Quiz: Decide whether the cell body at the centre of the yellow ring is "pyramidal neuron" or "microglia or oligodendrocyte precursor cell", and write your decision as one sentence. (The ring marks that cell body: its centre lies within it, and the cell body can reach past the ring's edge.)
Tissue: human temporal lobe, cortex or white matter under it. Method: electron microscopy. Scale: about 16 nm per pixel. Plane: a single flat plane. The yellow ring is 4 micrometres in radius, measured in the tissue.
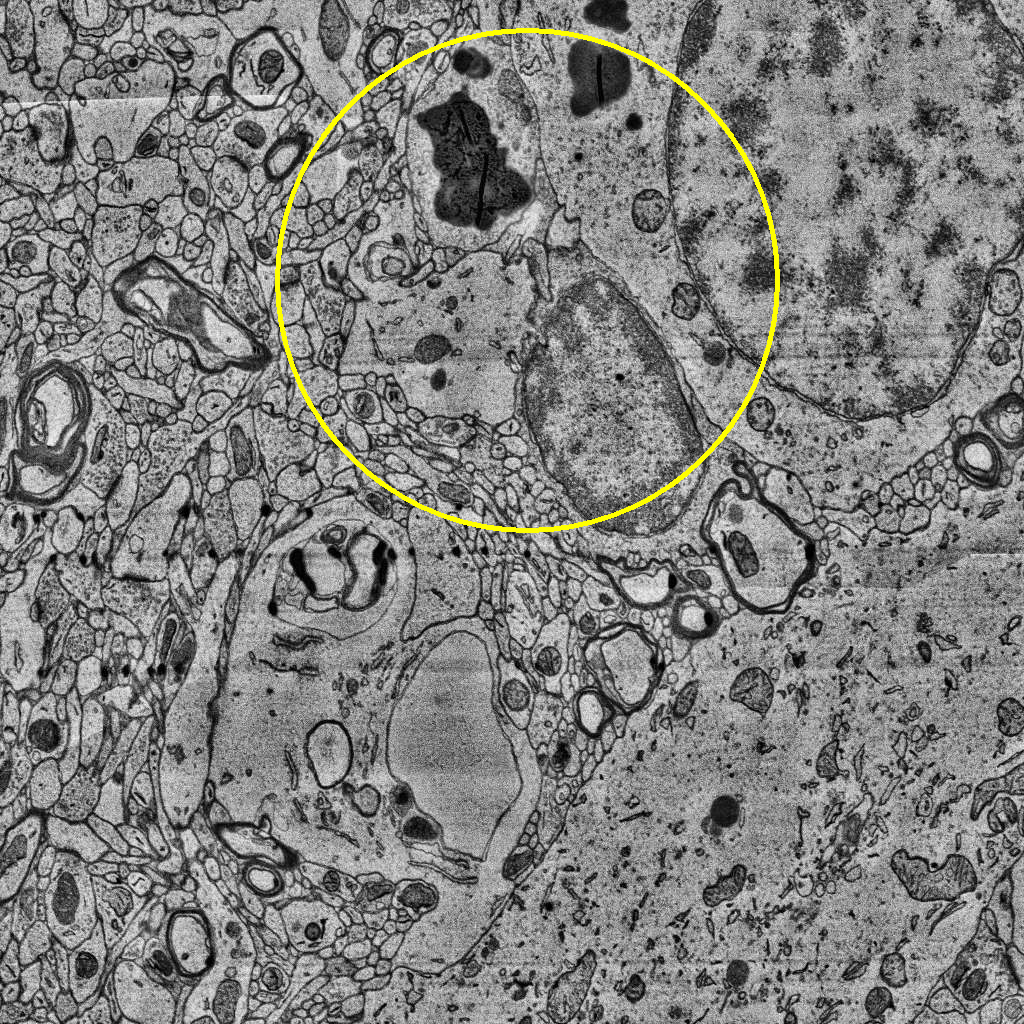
The cell holding the ring's centre is a microglial cell or oligodendrocyte precursor cell.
